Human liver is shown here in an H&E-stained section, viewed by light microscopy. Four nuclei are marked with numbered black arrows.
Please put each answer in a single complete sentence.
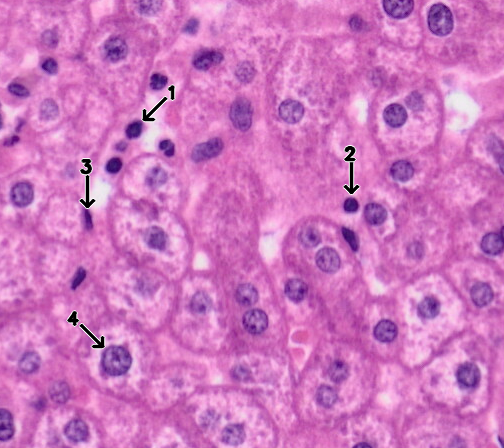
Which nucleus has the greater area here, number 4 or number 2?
The larger nucleus is 4, at roughly 4 times the area of 2.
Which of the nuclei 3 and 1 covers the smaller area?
It is nucleus 3; nucleus 1 has about 1.5 times its area.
